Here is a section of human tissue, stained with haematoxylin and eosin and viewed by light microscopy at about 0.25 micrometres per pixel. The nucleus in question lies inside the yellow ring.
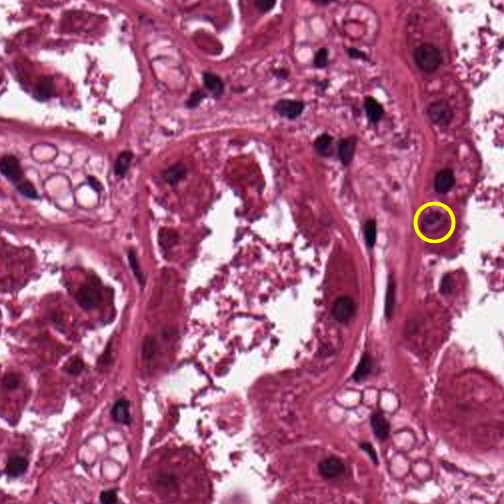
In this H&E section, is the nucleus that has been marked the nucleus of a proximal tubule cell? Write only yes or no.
yes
